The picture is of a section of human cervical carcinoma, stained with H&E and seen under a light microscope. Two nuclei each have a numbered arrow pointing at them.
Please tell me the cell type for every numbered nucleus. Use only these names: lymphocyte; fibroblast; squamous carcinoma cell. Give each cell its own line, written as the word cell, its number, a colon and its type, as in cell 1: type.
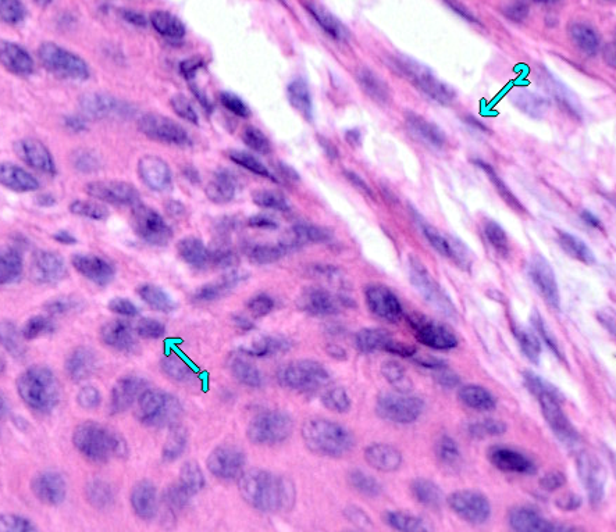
cell 1: squamous carcinoma cell
cell 2: fibroblast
